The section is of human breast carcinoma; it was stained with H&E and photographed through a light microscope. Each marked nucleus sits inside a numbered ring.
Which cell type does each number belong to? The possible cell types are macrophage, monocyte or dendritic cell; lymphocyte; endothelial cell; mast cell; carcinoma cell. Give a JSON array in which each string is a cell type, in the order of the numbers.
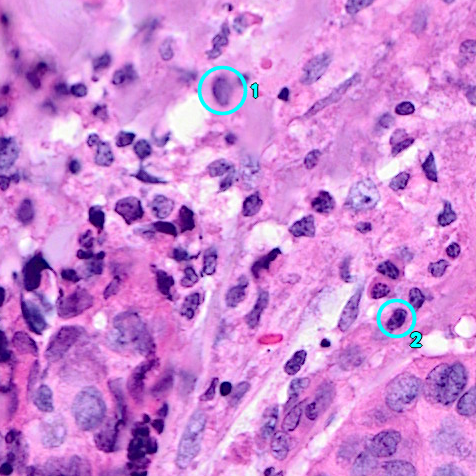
["macrophage, monocyte or dendritic cell", "lymphocyte"]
